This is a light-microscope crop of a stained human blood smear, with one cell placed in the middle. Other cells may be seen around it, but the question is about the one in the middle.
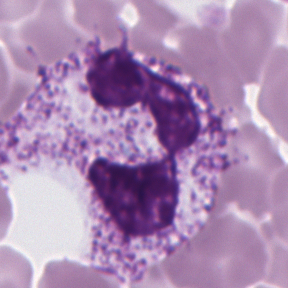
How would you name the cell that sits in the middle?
segmented neutrophil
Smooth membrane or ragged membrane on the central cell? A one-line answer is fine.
Irregularity marks the cell border, whether as raggedness or as projections.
